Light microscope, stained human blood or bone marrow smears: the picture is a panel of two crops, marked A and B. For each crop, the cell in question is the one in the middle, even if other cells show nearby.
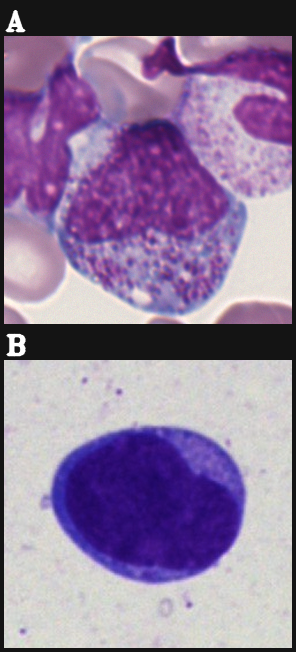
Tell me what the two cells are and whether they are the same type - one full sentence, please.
No, the cells are a promyelocyte in crop A and a blast in crop B.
